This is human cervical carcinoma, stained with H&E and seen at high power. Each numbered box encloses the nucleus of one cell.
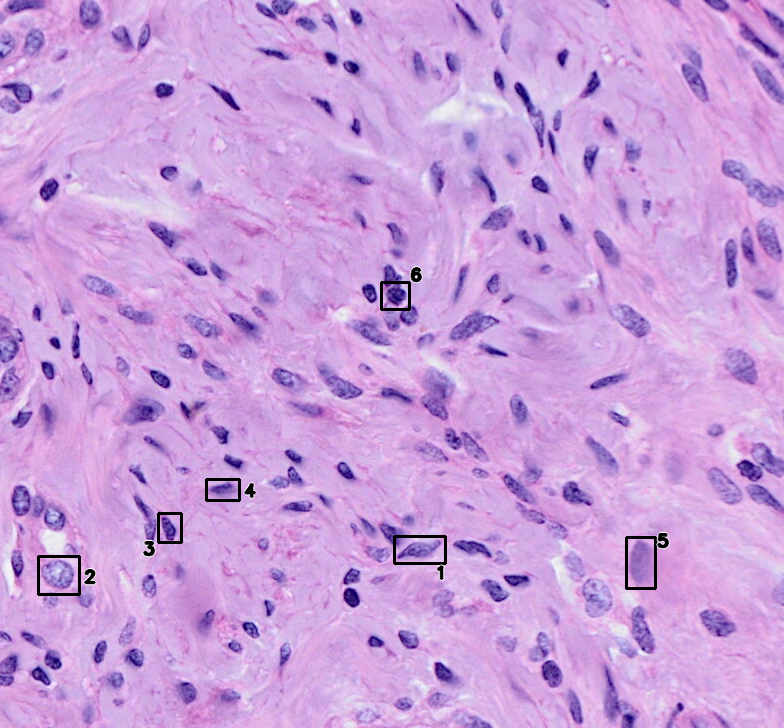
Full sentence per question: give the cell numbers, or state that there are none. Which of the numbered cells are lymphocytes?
The one cell that is a lymphocyte is cell 6, and no other.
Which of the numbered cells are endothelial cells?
Cell 2 is the one numbered cell that is an endothelial cell.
